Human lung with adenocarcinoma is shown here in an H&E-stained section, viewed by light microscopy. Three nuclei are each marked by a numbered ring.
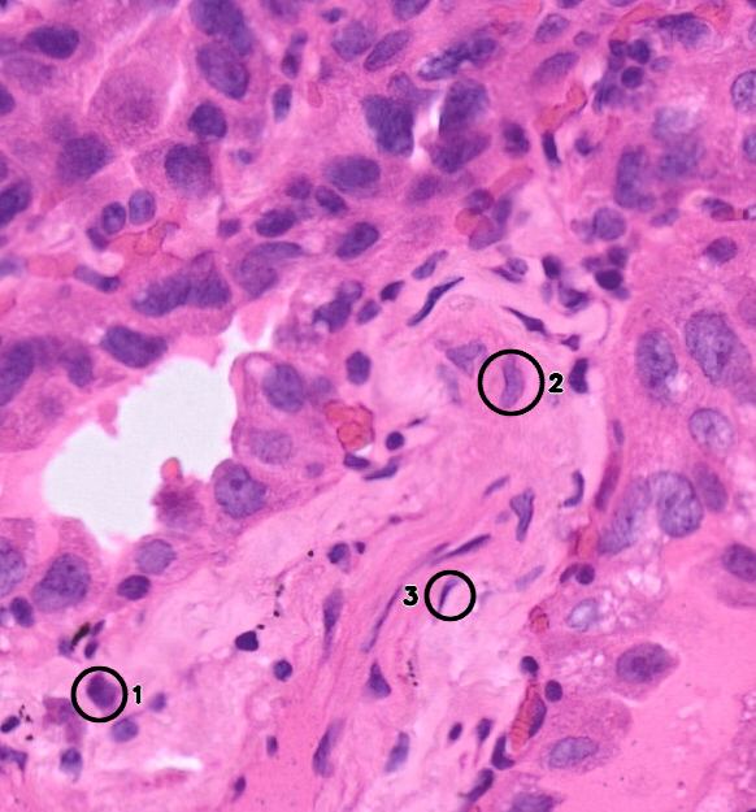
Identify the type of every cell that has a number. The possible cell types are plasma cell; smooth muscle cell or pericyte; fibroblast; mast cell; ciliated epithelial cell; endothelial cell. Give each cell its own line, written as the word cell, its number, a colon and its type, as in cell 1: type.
cell 1: plasma cell
cell 2: smooth muscle cell or pericyte
cell 3: fibroblast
